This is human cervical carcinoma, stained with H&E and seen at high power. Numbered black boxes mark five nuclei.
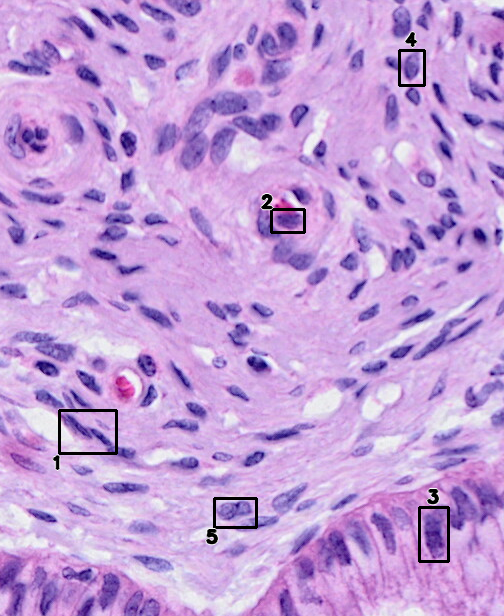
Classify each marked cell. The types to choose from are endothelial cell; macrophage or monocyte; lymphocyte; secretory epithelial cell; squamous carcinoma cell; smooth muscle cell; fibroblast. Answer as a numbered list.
1. fibroblast
2. endothelial cell
3. secretory epithelial cell
4. fibroblast
5. fibroblast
